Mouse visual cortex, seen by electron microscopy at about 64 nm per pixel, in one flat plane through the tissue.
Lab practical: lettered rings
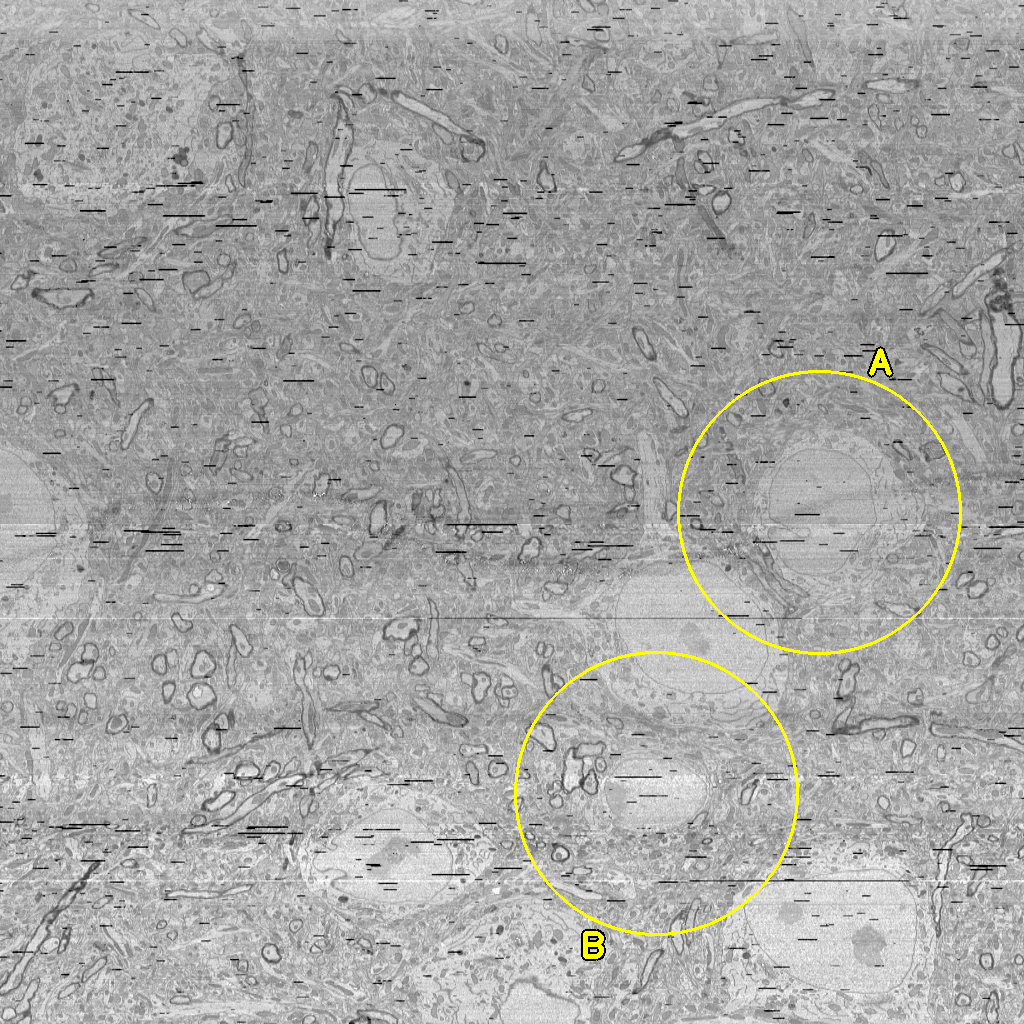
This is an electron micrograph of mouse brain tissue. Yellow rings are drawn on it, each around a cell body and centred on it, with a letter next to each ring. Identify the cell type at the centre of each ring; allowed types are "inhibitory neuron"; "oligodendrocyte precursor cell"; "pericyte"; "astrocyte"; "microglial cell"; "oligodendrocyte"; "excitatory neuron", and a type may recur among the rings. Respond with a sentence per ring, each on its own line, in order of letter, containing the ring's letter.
Lying at the centre of ring A is an excitatory neuron.
Lying at the centre of ring B is an astrocyte.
